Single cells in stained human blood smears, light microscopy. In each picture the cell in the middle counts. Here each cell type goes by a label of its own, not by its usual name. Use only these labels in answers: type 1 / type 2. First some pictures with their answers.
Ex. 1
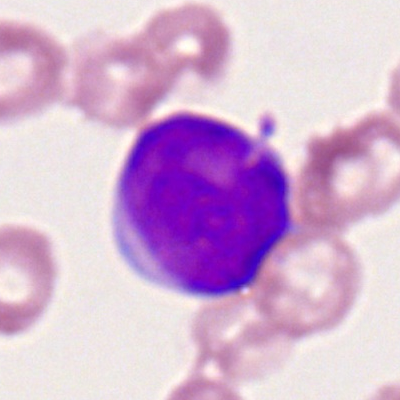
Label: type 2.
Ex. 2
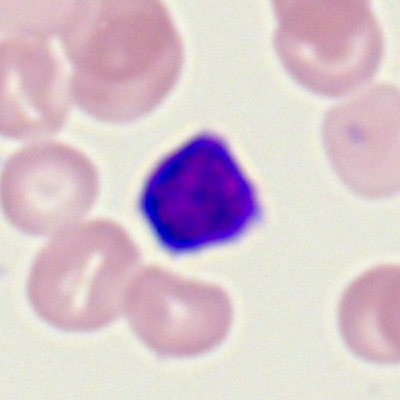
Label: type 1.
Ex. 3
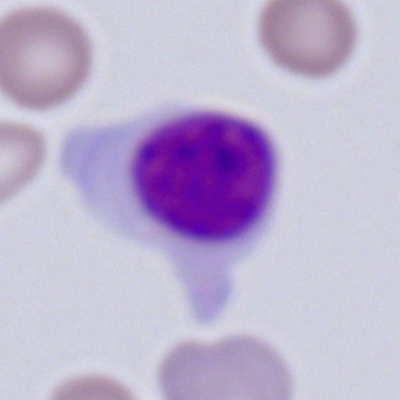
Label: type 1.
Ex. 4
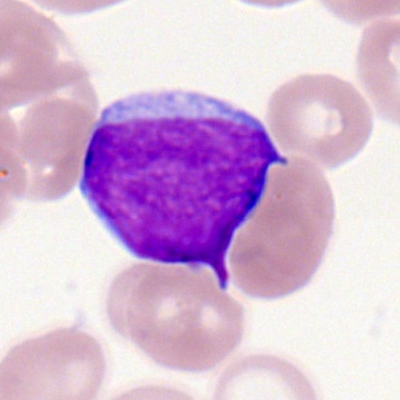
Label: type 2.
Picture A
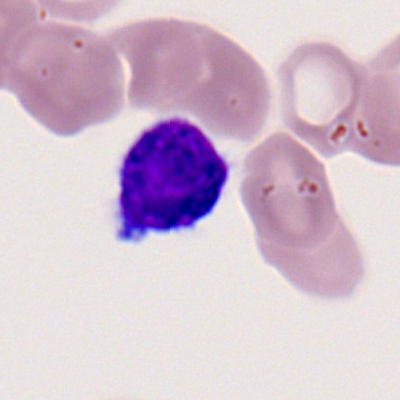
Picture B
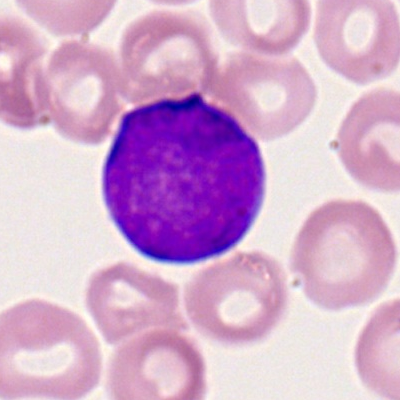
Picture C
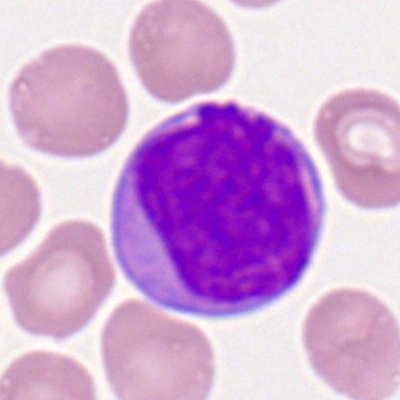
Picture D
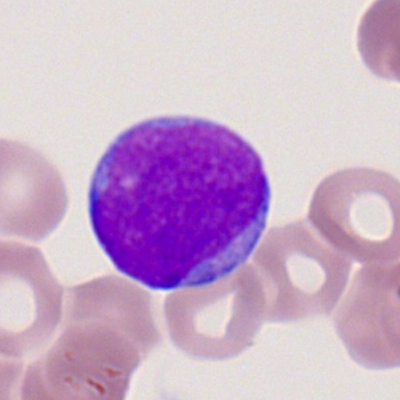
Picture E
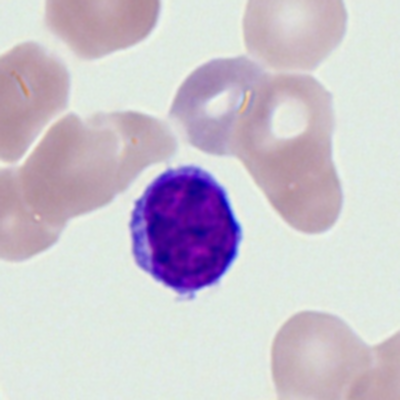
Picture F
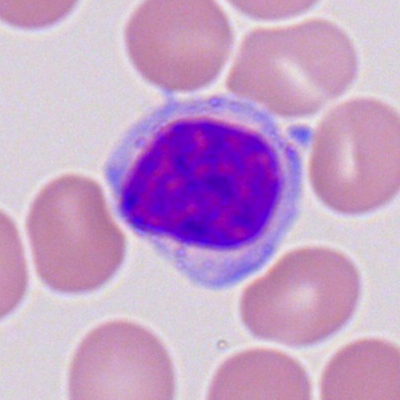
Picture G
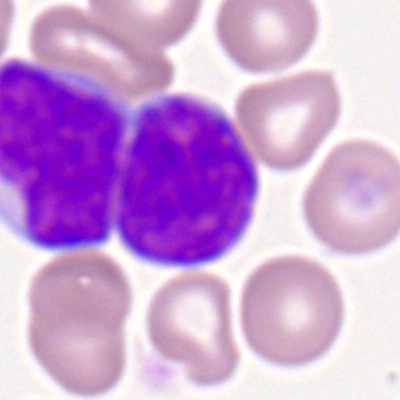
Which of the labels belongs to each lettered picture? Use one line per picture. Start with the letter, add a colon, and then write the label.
A: type 1.
B: type 2.
C: type 2.
D: type 2.
E: type 1.
F: type 1.
G: type 2.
